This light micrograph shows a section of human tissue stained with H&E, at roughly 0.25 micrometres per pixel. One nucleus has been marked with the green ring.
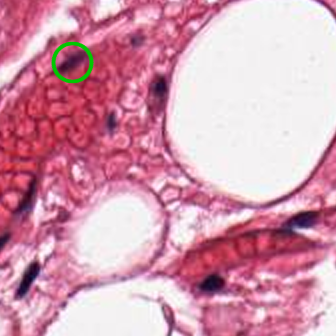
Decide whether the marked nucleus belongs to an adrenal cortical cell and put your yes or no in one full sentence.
No, the marked nucleus is not borne by an adrenal cortical cell; it is borne by a supporting cell.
